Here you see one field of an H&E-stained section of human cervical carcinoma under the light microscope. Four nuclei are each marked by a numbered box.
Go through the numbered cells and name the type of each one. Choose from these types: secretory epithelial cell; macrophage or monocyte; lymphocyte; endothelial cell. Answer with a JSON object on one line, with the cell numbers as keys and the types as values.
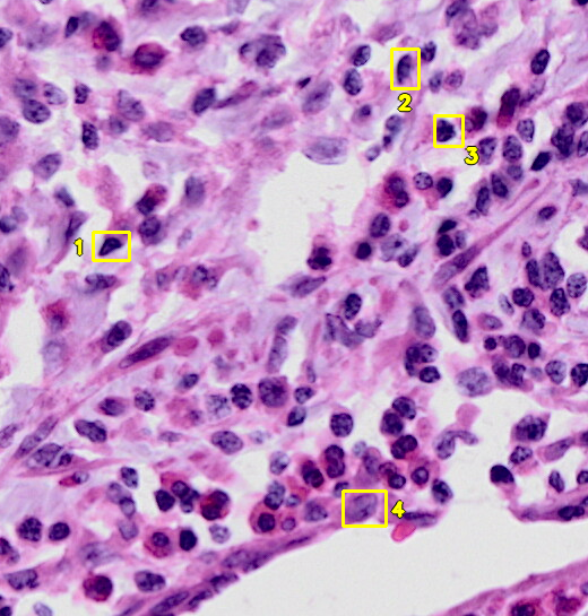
{"1": "lymphocyte", "2": "lymphocyte", "3": "lymphocyte", "4": "endothelial cell"}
